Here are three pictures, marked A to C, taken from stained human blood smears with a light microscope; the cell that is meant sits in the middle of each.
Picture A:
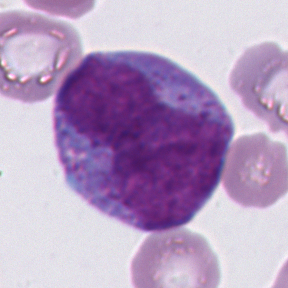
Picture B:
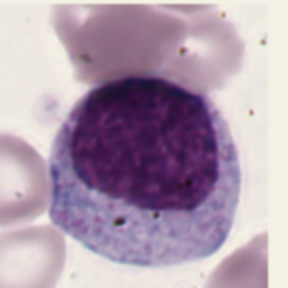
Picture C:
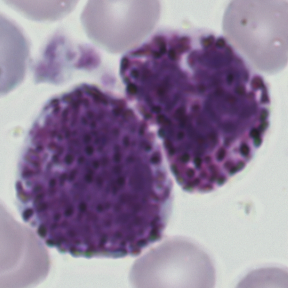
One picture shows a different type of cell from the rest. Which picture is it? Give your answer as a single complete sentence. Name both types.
All pictures except C show promyelocytes; picture C shows a basophil.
